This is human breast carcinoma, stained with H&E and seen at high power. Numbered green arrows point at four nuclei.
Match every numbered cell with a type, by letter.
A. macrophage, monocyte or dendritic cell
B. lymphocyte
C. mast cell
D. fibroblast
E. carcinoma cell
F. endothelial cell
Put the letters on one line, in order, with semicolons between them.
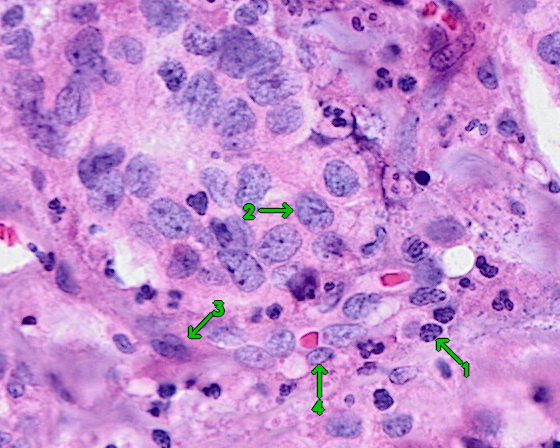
B; E; F; F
